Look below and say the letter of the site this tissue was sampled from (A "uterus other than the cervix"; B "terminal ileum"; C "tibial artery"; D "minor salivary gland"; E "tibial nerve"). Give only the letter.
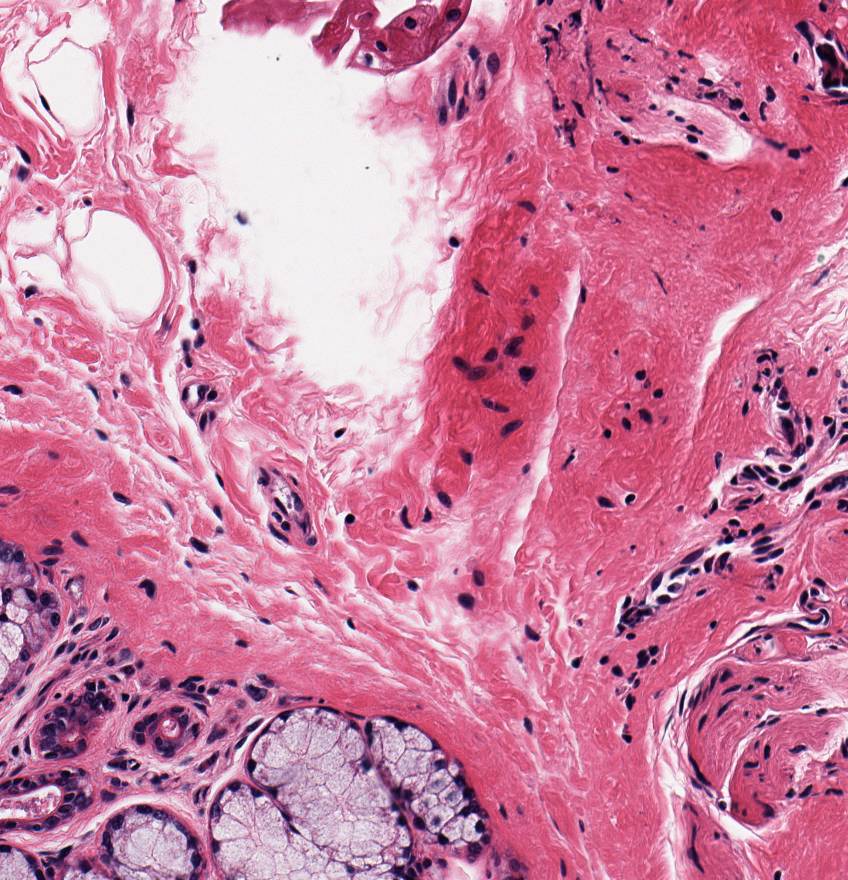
D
